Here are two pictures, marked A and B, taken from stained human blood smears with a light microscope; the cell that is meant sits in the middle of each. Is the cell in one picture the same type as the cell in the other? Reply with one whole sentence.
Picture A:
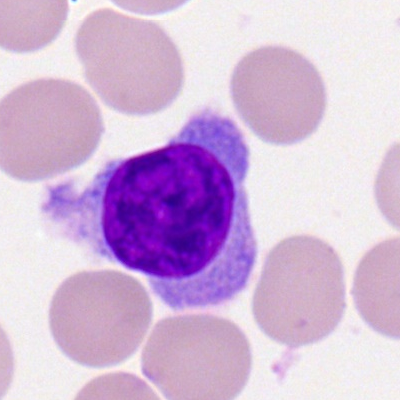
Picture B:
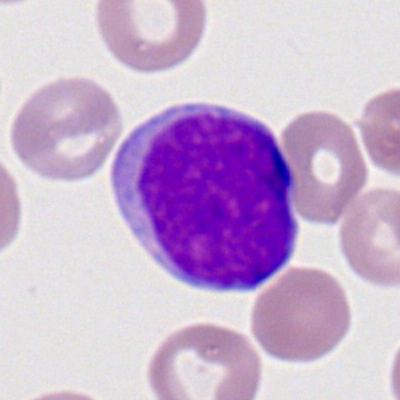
No; the cell in picture A is a lymphocyte, while the one in picture B is a myeloblast.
